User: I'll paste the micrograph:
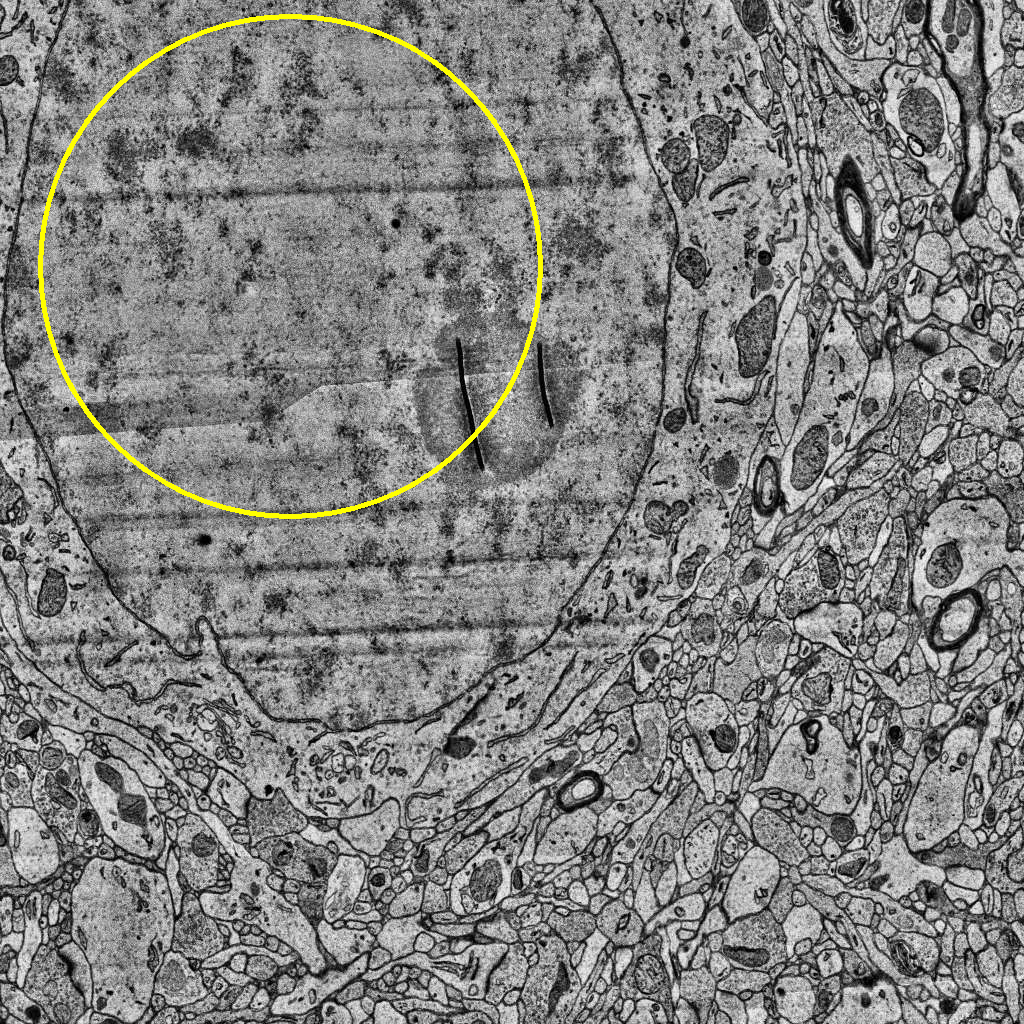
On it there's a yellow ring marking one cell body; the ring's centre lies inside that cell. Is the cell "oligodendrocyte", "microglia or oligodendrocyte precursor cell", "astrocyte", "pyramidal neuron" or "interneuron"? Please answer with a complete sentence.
The cell at the centre of the yellow ring is a pyramidal neuron.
